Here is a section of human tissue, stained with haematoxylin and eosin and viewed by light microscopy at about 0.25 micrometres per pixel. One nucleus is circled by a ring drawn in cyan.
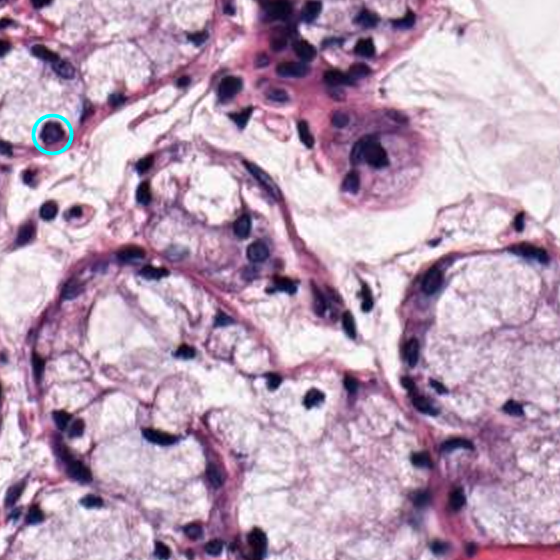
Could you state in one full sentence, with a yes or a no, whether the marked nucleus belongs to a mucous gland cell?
Yes, a mucous gland cell holds the marked nucleus.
